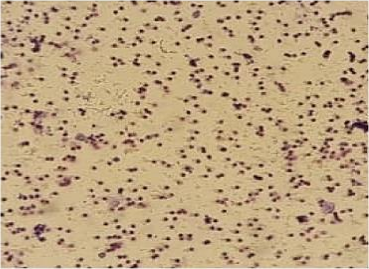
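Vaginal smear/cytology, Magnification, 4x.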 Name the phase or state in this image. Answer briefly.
Diestrus stage.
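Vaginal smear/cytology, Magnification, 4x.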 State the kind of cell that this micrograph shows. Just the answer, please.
leukocytes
